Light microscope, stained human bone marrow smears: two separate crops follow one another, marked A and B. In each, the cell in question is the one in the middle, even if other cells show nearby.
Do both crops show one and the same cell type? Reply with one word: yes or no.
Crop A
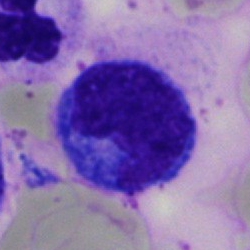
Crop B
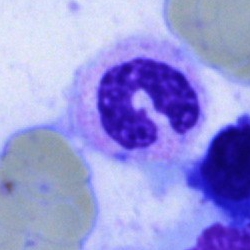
no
